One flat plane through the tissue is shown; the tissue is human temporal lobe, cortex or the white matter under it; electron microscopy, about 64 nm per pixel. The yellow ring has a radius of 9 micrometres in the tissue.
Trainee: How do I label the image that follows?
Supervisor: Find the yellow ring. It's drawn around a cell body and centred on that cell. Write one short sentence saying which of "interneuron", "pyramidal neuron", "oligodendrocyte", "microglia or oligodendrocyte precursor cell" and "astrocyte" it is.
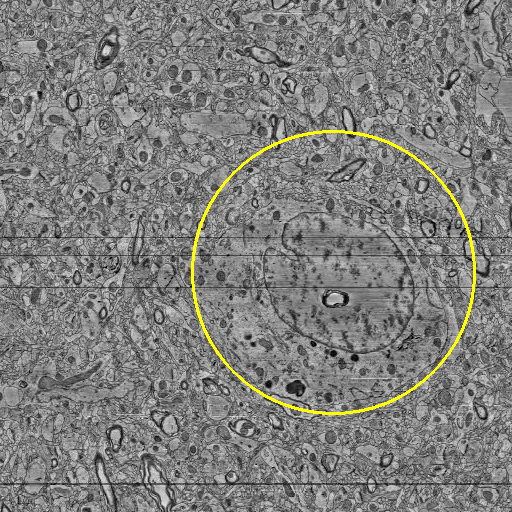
This is the cell body of a pyramidal neuron.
